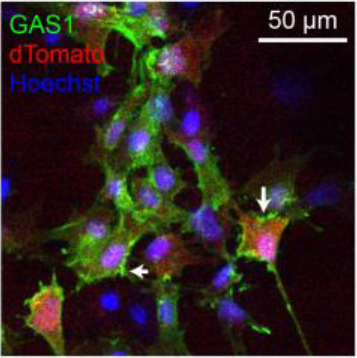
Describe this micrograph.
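A loose group of cultured cells is seen, each with a round to oval blue nucleus, several filled with diffuse red in nucleus and cytoplasm. Bright green outlines the cell borders and runs along flattened, spreading cell bodies and thin, long processes that reach between neighbouring cells, giving a lacy network over the field. The green is strongest at cell edges and membrane ruffles rather than evenly filling the cytoplasm. Cells vary in shape from polygonal to elongated, with some bearing slender extensions. Dark background separates the cell clusters.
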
